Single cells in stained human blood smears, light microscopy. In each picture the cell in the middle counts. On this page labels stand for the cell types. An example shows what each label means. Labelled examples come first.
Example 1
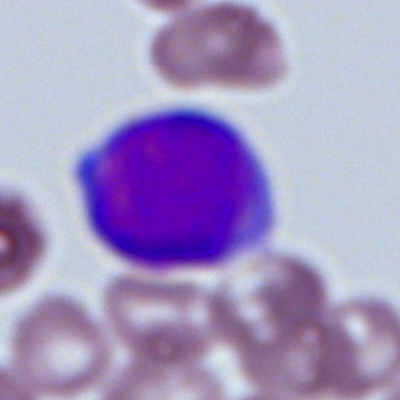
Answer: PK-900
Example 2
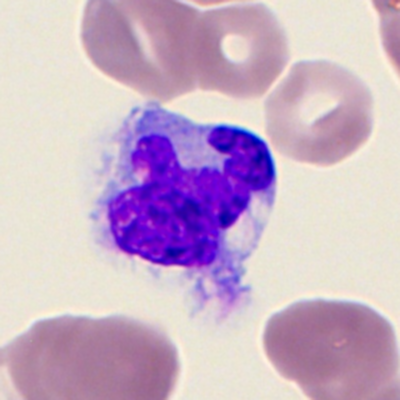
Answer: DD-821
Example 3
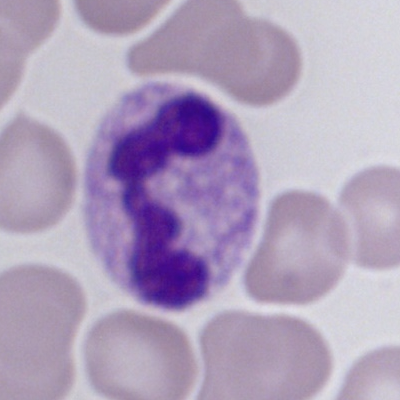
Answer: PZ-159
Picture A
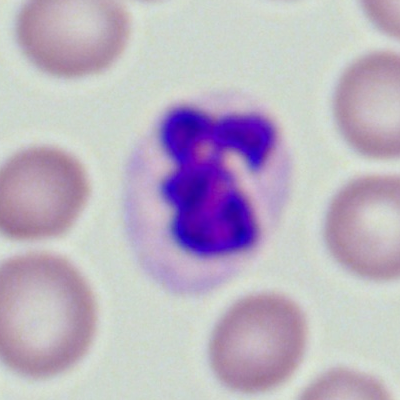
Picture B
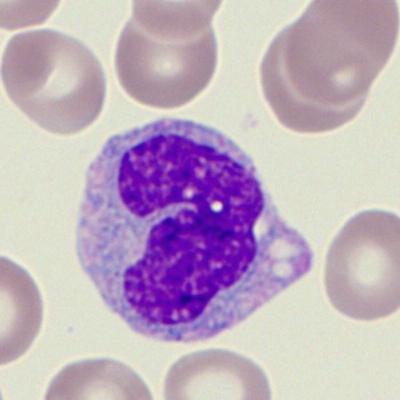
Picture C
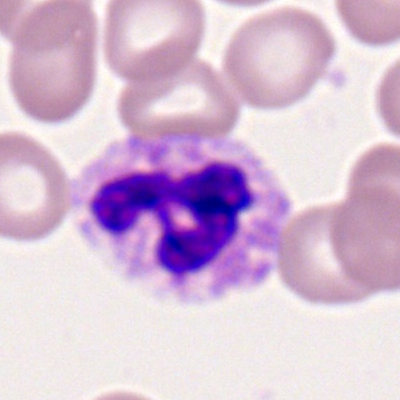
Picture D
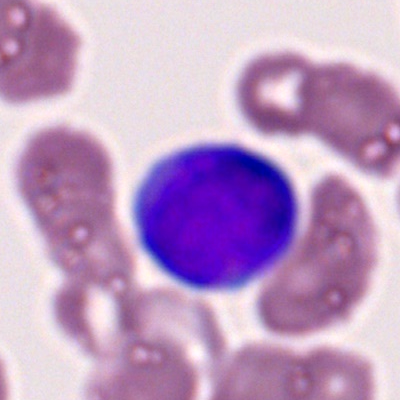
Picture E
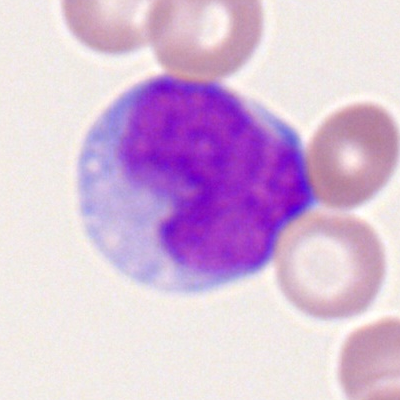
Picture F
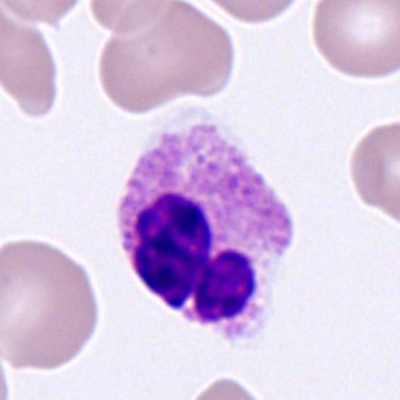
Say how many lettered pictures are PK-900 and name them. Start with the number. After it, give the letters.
2: D, E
